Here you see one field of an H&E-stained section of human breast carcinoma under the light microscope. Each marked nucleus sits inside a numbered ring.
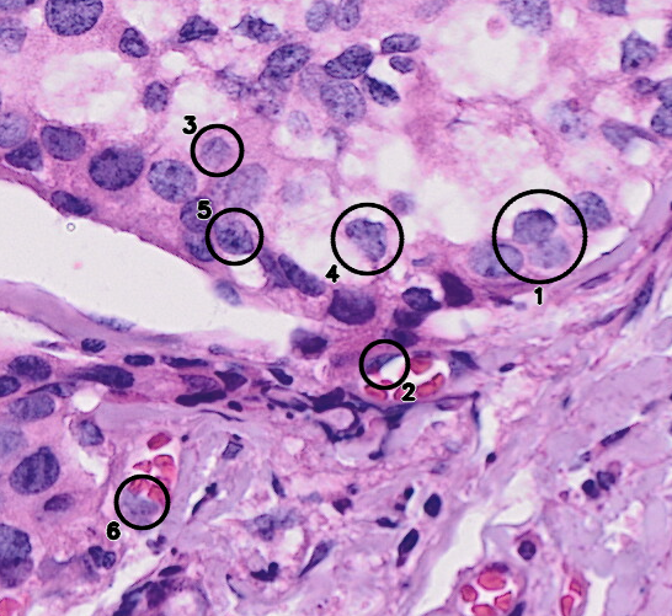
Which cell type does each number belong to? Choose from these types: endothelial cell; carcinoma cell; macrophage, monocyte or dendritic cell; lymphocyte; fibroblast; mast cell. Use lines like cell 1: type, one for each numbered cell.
cell 1: carcinoma cell
cell 2: endothelial cell
cell 3: carcinoma cell
cell 4: carcinoma cell
cell 5: carcinoma cell
cell 6: endothelial cell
